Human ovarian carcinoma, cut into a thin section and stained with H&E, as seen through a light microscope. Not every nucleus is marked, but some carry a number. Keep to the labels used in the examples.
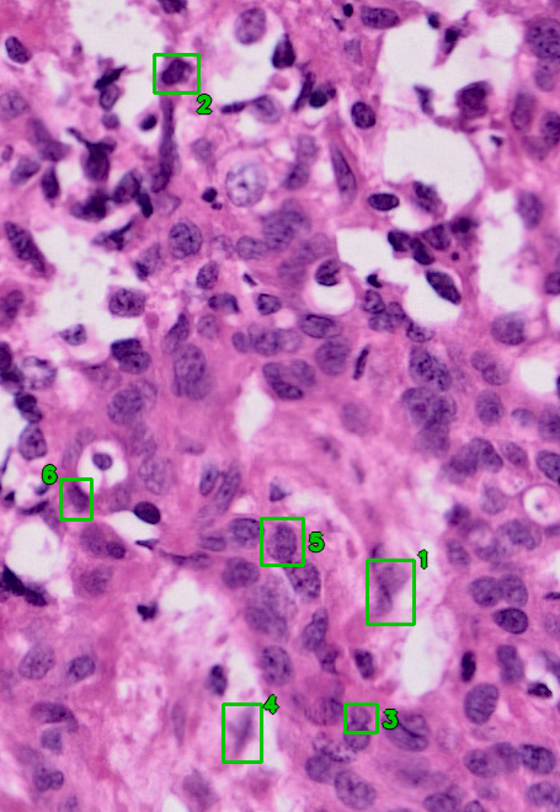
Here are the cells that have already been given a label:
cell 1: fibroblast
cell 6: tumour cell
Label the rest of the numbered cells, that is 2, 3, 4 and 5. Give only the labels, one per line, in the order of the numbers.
tumour cell
tumour cell
fibroblast
tumour cell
